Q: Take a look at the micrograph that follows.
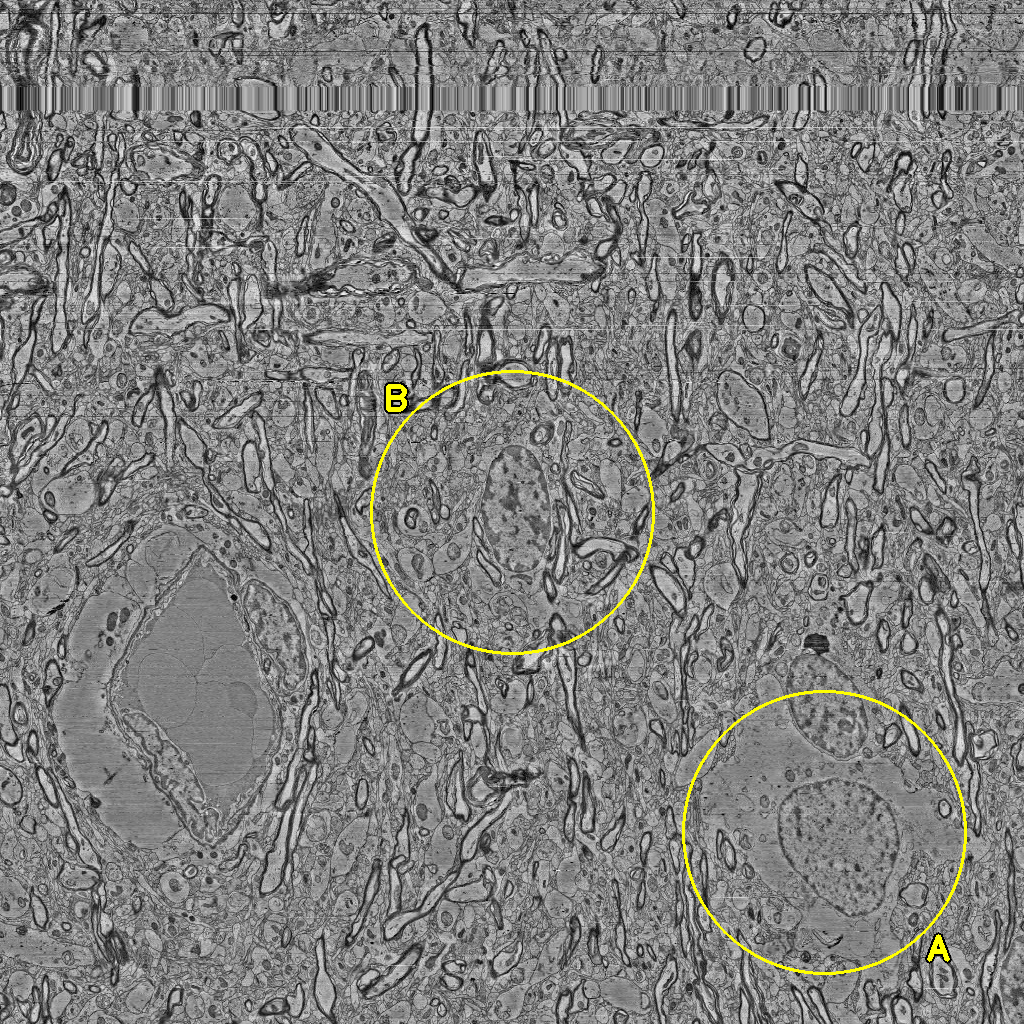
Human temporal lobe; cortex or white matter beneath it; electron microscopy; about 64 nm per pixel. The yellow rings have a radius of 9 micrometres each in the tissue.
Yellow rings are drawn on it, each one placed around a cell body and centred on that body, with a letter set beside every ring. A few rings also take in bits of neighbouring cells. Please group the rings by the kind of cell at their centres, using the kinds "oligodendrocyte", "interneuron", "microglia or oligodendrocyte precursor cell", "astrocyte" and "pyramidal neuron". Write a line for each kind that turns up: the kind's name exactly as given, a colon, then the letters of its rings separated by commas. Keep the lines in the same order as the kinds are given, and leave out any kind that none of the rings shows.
microglia or oligodendrocyte precursor cell: B
astrocyte: A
